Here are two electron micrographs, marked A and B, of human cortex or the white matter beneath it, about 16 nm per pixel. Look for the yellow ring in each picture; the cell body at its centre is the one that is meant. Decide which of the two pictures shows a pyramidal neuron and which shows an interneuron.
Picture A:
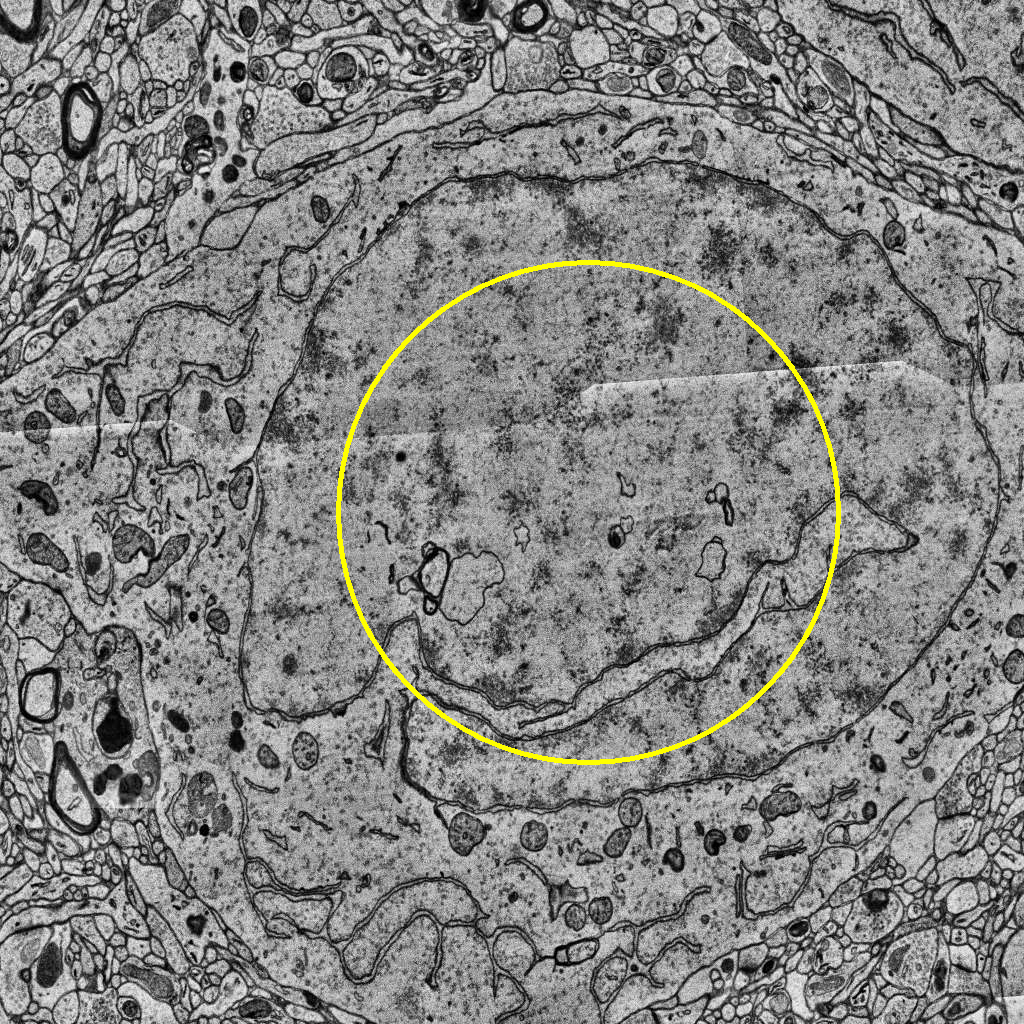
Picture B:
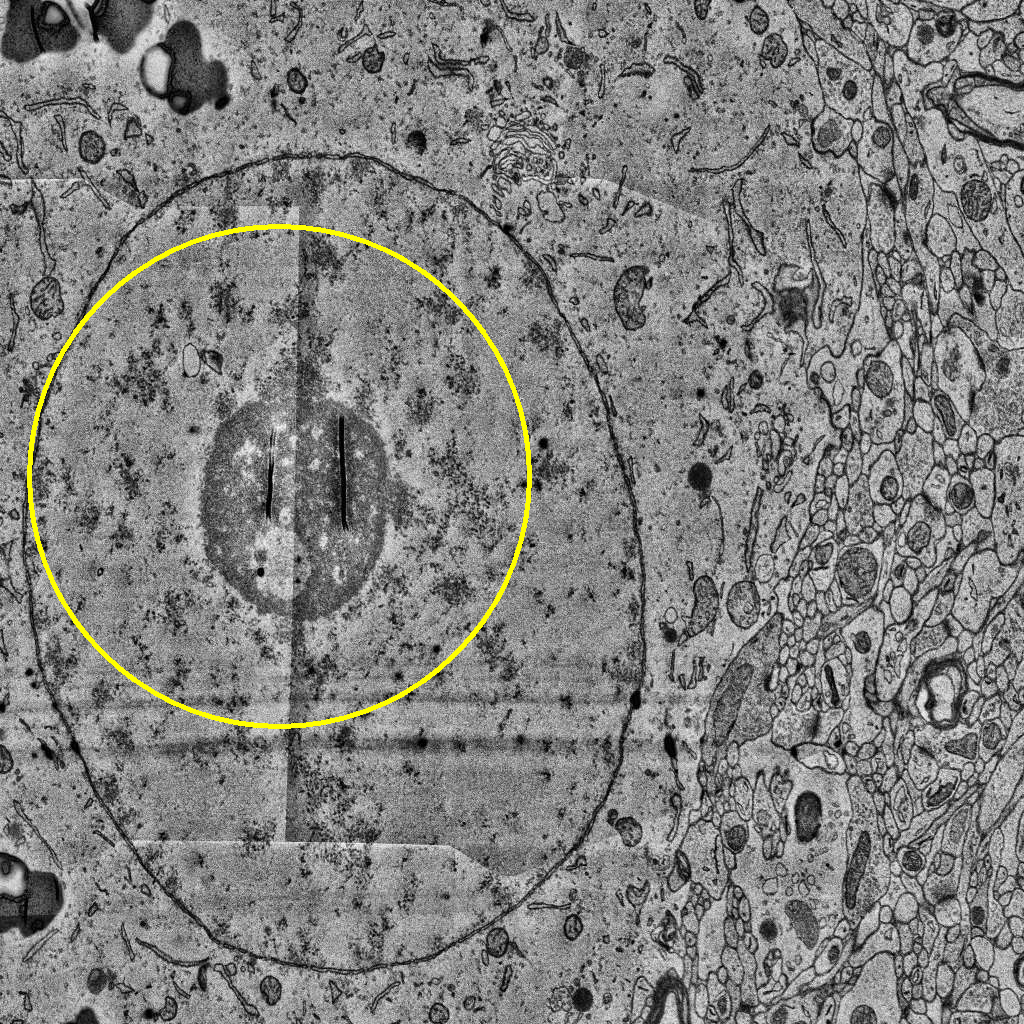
It is picture A that shows an interneuron, and picture B that shows a pyramidal neuron.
